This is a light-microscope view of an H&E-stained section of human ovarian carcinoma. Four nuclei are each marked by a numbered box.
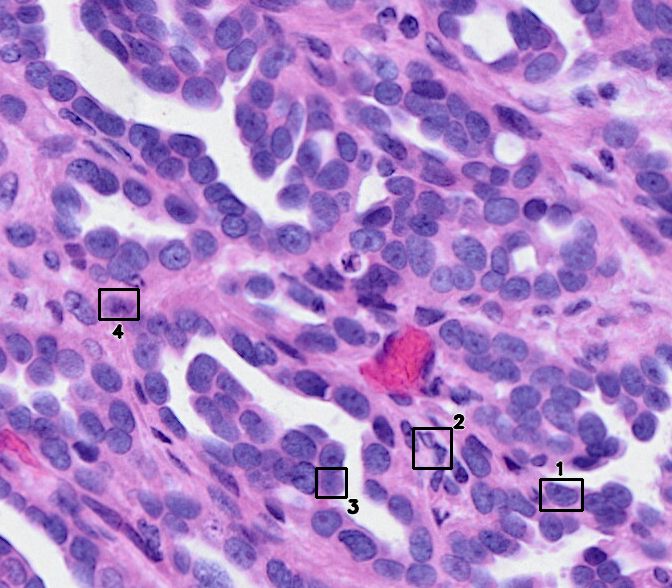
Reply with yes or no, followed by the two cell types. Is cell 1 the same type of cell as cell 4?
No, sorry, cell 1 is a carcinoma cell and cell 4 is a fibroblast.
